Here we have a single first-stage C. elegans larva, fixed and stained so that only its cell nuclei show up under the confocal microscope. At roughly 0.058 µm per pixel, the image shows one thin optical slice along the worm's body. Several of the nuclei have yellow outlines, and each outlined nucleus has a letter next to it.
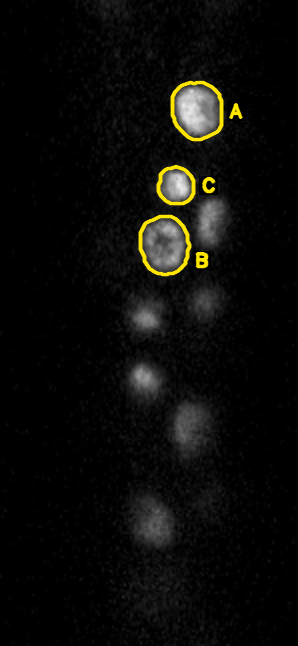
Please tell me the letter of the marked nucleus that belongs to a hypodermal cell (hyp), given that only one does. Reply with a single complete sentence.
Nucleus B belongs to a hypodermal cell (hyp).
